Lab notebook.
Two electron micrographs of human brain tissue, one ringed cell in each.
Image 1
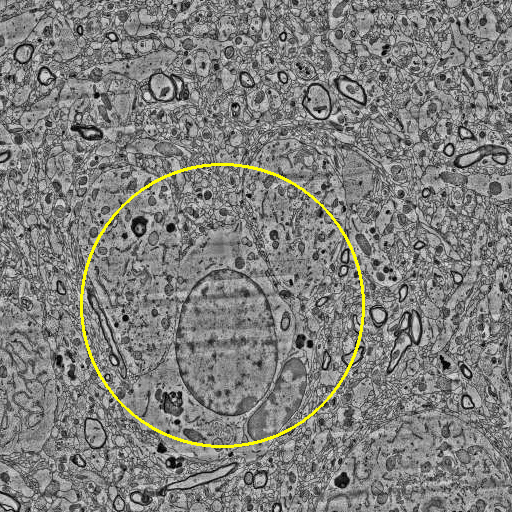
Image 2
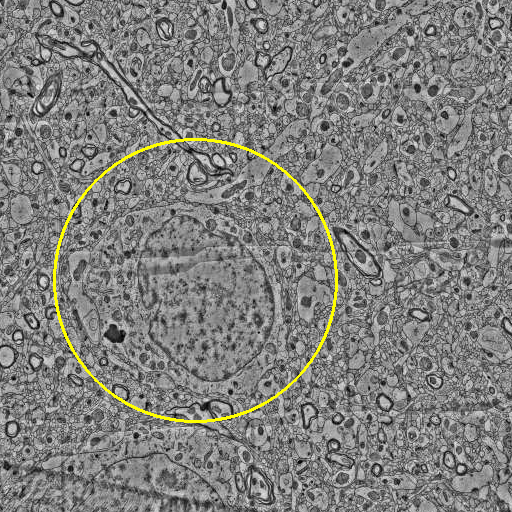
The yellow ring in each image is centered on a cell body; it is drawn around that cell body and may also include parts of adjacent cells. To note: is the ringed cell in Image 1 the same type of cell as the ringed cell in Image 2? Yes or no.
no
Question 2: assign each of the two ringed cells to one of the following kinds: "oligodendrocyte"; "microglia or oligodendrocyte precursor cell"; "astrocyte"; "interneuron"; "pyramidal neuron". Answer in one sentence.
The two cells are an astrocyte in the first picture and an interneuron in the second.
